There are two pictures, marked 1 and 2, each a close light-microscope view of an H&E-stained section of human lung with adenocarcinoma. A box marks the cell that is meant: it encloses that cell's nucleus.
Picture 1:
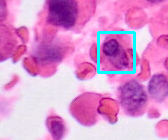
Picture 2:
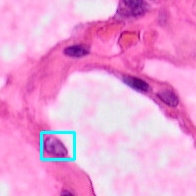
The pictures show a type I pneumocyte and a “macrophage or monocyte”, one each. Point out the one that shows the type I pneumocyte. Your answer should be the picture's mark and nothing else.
2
